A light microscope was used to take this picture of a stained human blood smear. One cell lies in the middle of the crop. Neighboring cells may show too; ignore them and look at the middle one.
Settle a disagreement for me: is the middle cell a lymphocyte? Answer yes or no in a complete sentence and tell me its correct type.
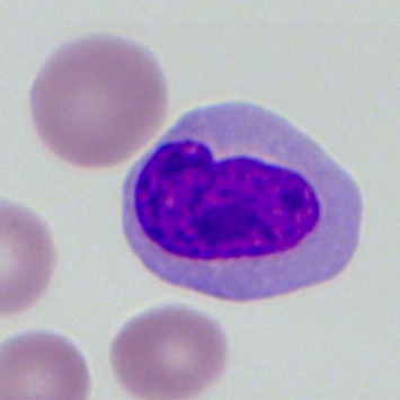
No, the central cell is counted as an erythroblast instead of a lymphocyte.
